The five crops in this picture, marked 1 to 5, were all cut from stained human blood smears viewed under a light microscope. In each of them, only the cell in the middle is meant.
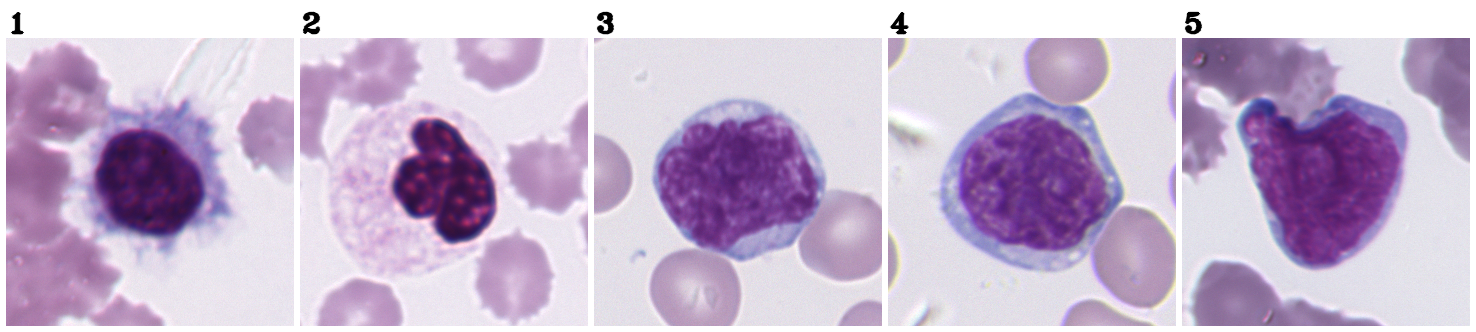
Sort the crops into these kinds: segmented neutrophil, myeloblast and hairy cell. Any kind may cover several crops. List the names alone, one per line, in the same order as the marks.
hairy cell
segmented neutrophil
myeloblast
myeloblast
myeloblast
